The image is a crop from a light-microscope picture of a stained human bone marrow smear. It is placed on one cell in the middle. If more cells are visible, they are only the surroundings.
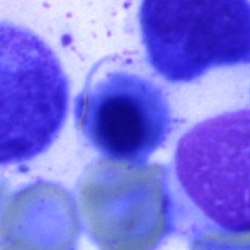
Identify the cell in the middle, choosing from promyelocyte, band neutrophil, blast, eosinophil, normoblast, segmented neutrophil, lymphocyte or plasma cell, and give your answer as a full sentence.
In the center of this field lies a normoblast.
